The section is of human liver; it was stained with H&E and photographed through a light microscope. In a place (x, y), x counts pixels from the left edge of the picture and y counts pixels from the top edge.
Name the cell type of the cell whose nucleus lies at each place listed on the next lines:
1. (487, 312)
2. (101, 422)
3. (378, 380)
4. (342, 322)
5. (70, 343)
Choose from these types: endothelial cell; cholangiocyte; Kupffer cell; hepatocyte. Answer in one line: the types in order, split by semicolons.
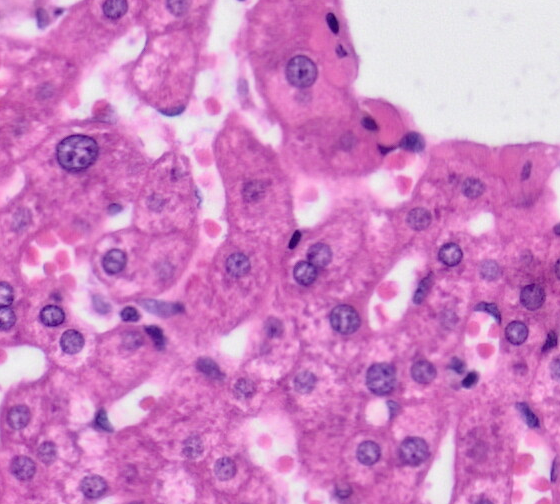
endothelial cell; endothelial cell; hepatocyte; hepatocyte; hepatocyte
